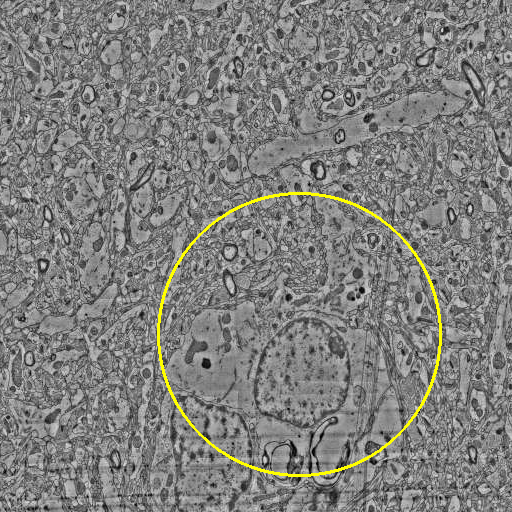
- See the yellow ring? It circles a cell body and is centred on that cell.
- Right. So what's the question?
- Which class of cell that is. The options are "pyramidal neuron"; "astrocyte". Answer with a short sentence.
The centre of the ring holds an astrocyte.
